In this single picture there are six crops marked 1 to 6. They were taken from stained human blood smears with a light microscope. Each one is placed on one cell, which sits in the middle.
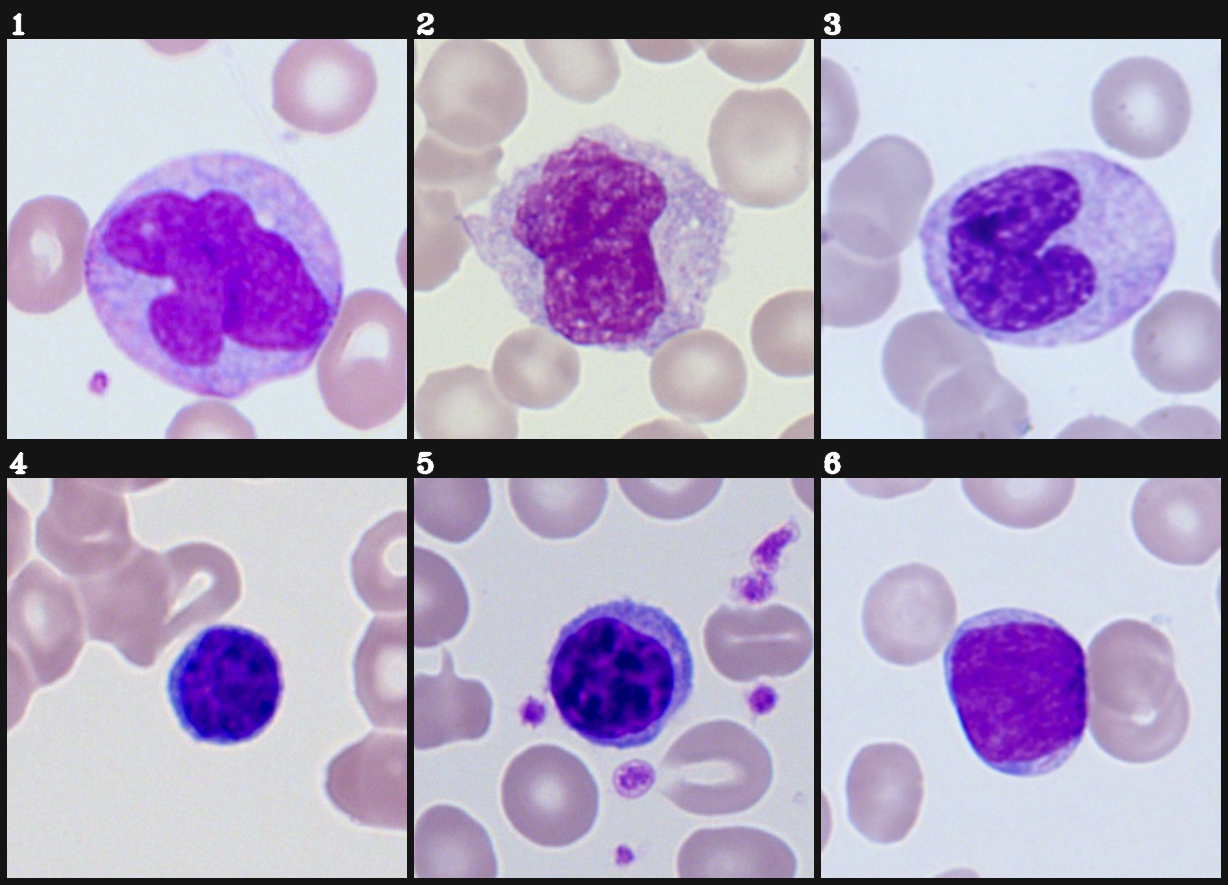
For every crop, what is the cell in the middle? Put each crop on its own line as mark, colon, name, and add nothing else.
1: monocyte
2: monocyte
3: monocyte
4: lymphocyte
5: lymphocyte
6: lymphocyte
